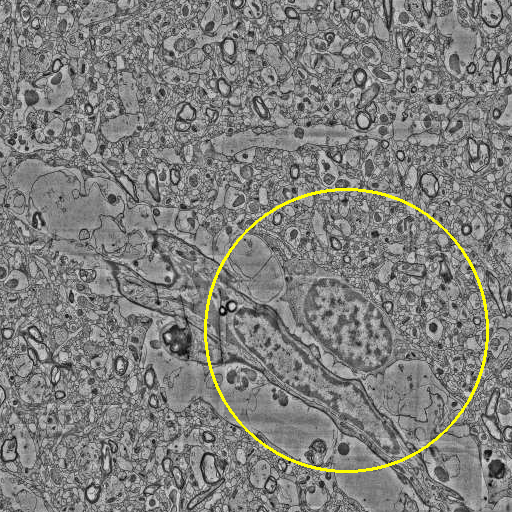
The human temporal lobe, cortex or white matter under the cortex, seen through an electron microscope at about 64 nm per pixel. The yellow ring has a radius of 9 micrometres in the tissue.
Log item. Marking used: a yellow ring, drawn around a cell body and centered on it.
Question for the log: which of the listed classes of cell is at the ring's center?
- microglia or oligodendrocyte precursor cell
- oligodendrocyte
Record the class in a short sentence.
At the center of the ring lies an oligodendrocyte.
